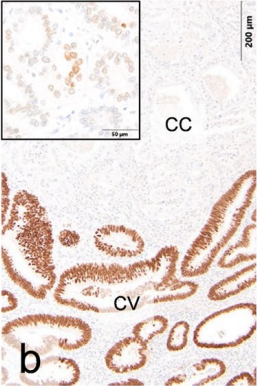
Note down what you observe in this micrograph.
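Tumor tissue with two parts: below, glands lined by tall columnar tumor cells with crowded, elongated, stratified nuclei stained dark brown; above, sheets and small nests of clear, pale tumor cells around small spaces with almost no brown nuclei. The boundary between the two parts is sharp. The inset shows rounded clear cells with round nuclei, only a few of them faintly brown.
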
